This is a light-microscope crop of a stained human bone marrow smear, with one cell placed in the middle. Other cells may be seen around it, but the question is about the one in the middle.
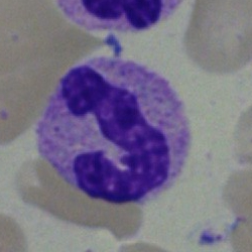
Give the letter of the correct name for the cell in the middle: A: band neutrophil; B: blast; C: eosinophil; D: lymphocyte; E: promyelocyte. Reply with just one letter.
A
